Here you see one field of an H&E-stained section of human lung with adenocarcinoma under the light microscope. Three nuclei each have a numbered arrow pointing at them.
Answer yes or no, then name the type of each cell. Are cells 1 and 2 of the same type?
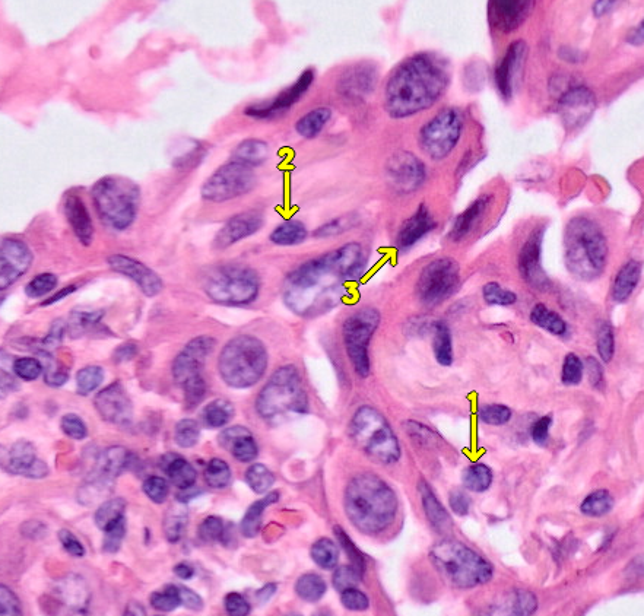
Yes, cell number 1 and cell number 2 are both lymphocytes.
